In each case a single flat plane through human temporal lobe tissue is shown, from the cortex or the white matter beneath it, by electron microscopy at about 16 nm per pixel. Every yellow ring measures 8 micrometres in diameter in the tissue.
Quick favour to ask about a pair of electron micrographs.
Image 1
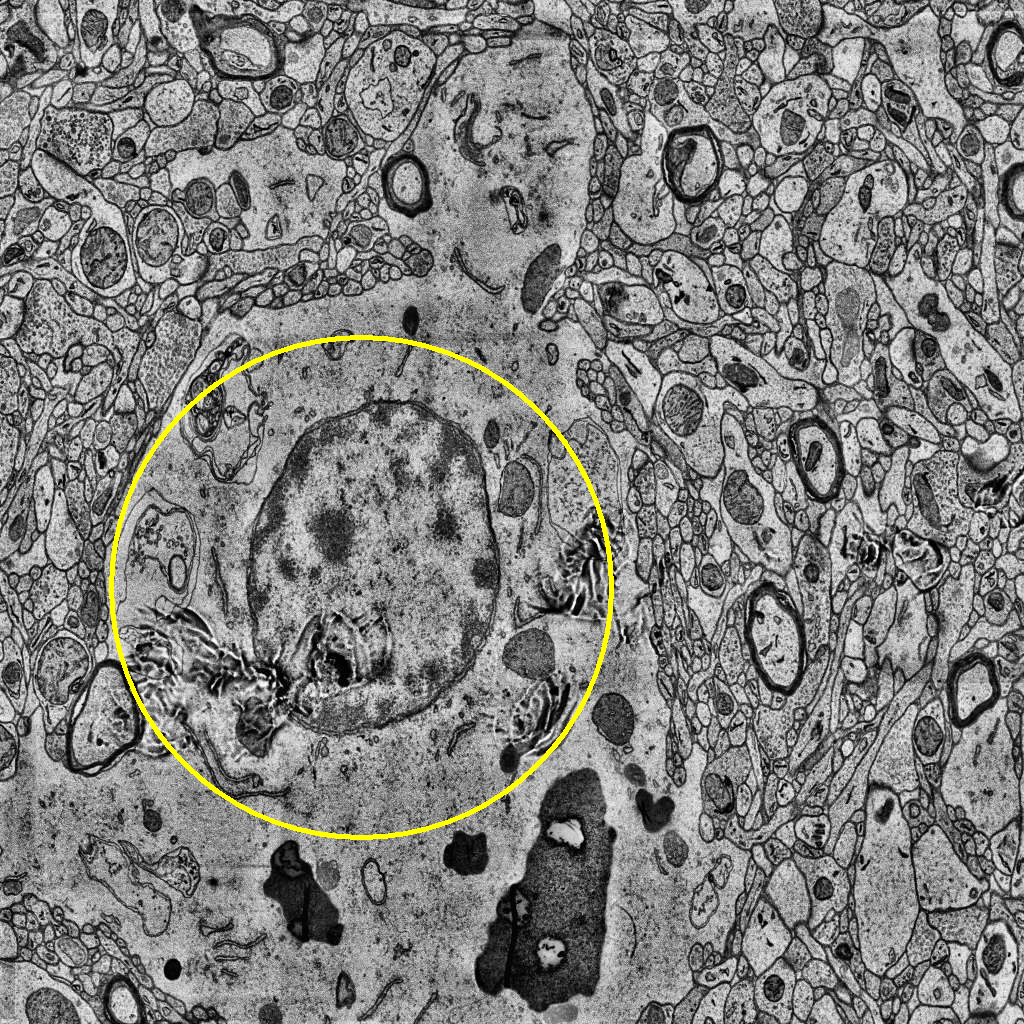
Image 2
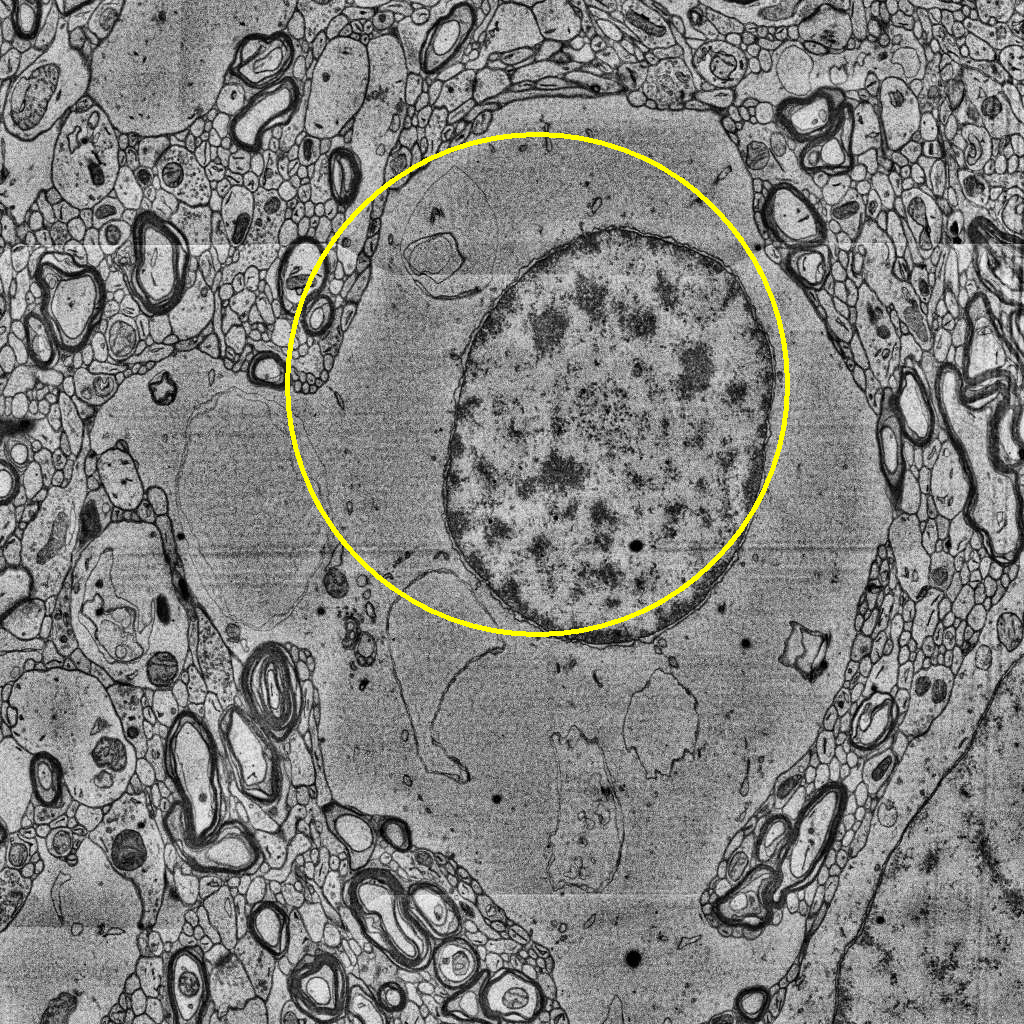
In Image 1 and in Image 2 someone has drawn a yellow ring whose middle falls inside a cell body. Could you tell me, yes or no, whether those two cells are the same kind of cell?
yes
